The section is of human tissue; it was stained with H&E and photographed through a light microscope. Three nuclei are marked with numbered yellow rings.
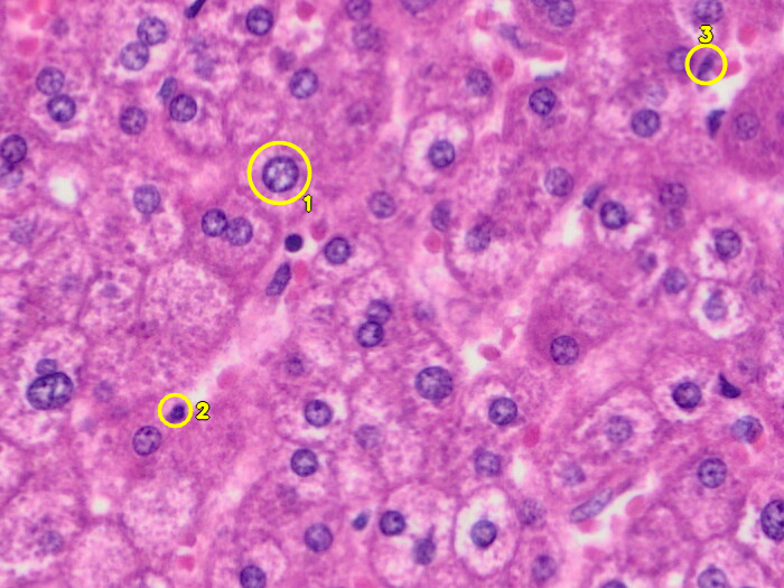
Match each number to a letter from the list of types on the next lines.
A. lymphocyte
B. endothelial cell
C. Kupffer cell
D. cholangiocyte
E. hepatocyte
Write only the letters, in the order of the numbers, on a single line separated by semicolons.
E; A; C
